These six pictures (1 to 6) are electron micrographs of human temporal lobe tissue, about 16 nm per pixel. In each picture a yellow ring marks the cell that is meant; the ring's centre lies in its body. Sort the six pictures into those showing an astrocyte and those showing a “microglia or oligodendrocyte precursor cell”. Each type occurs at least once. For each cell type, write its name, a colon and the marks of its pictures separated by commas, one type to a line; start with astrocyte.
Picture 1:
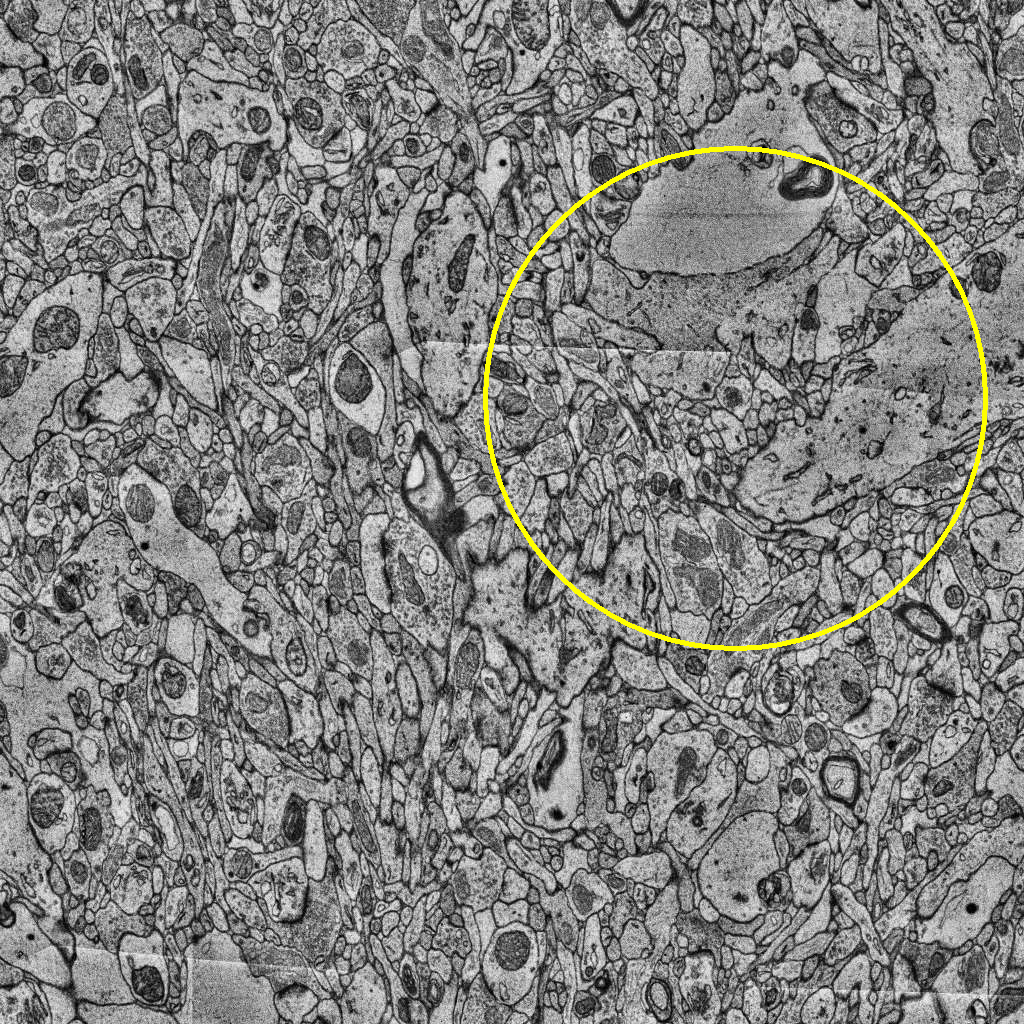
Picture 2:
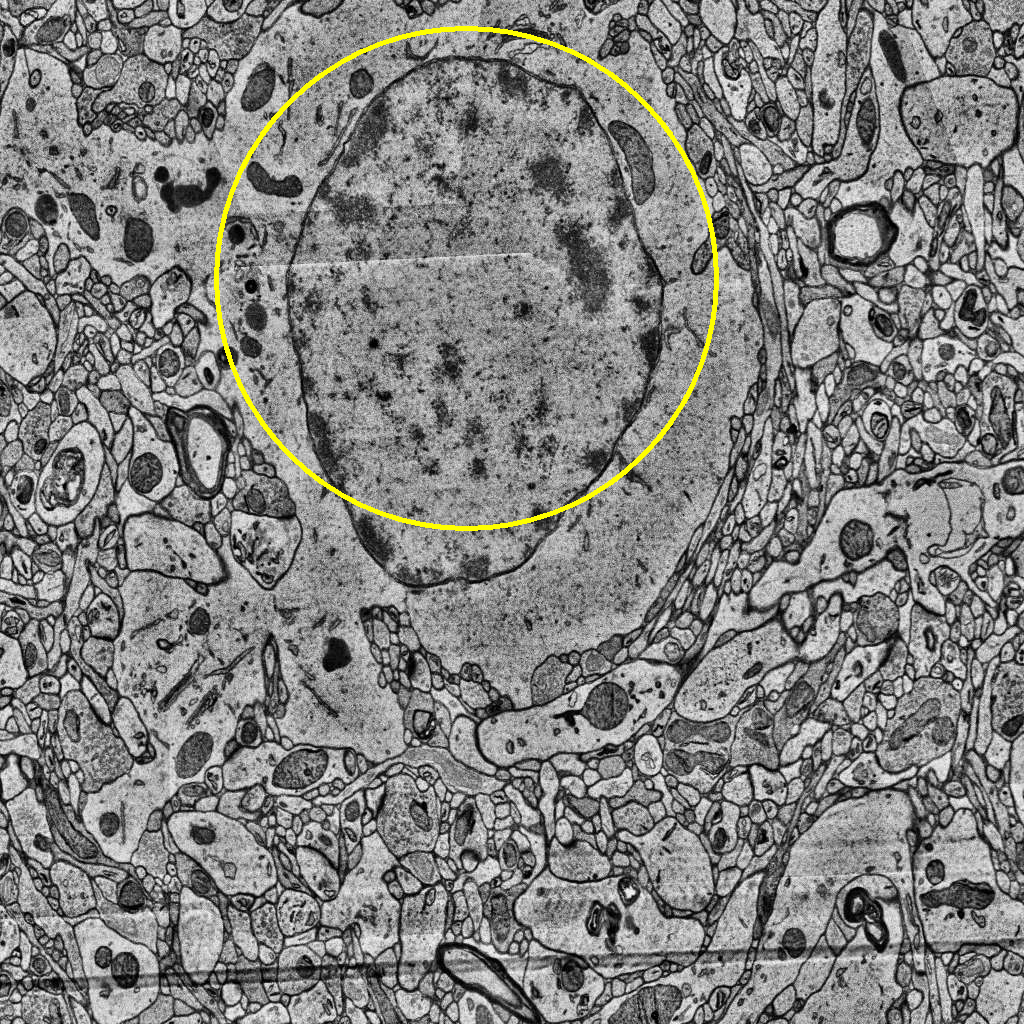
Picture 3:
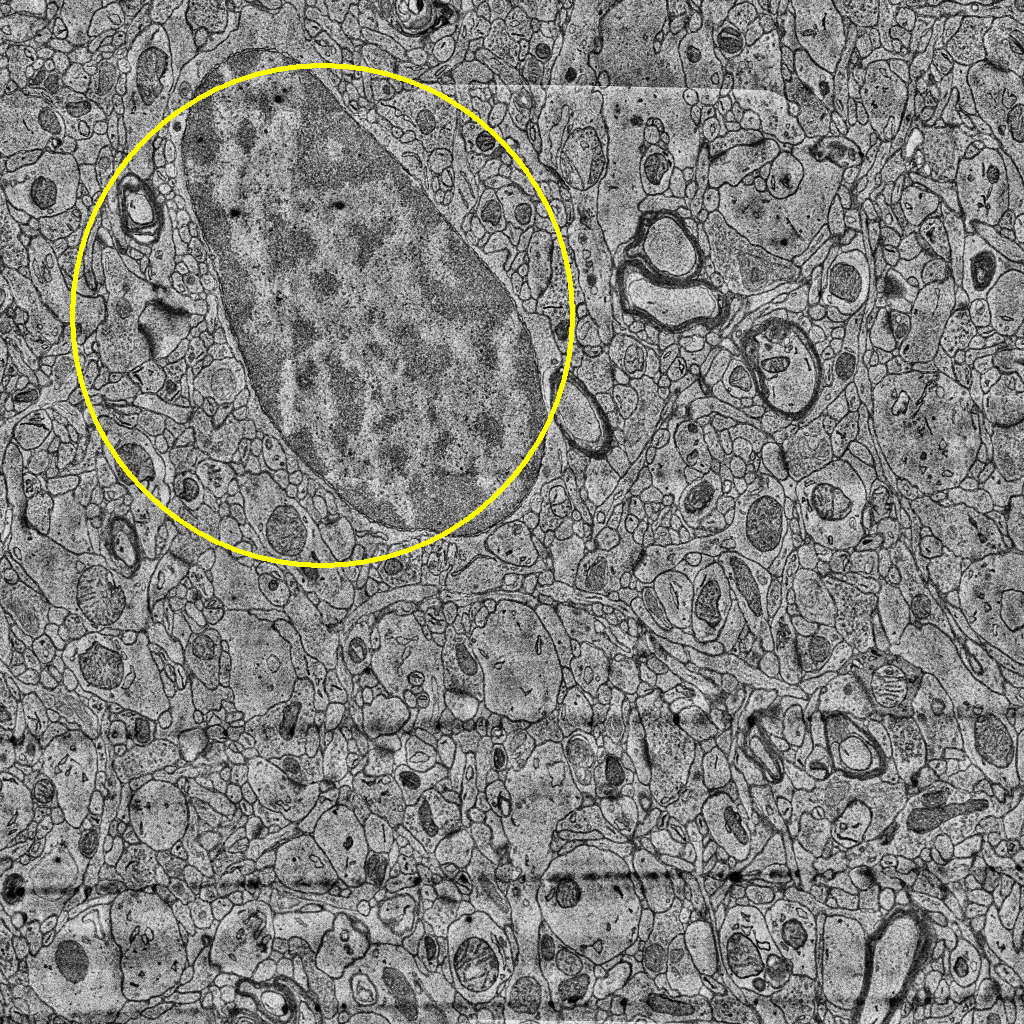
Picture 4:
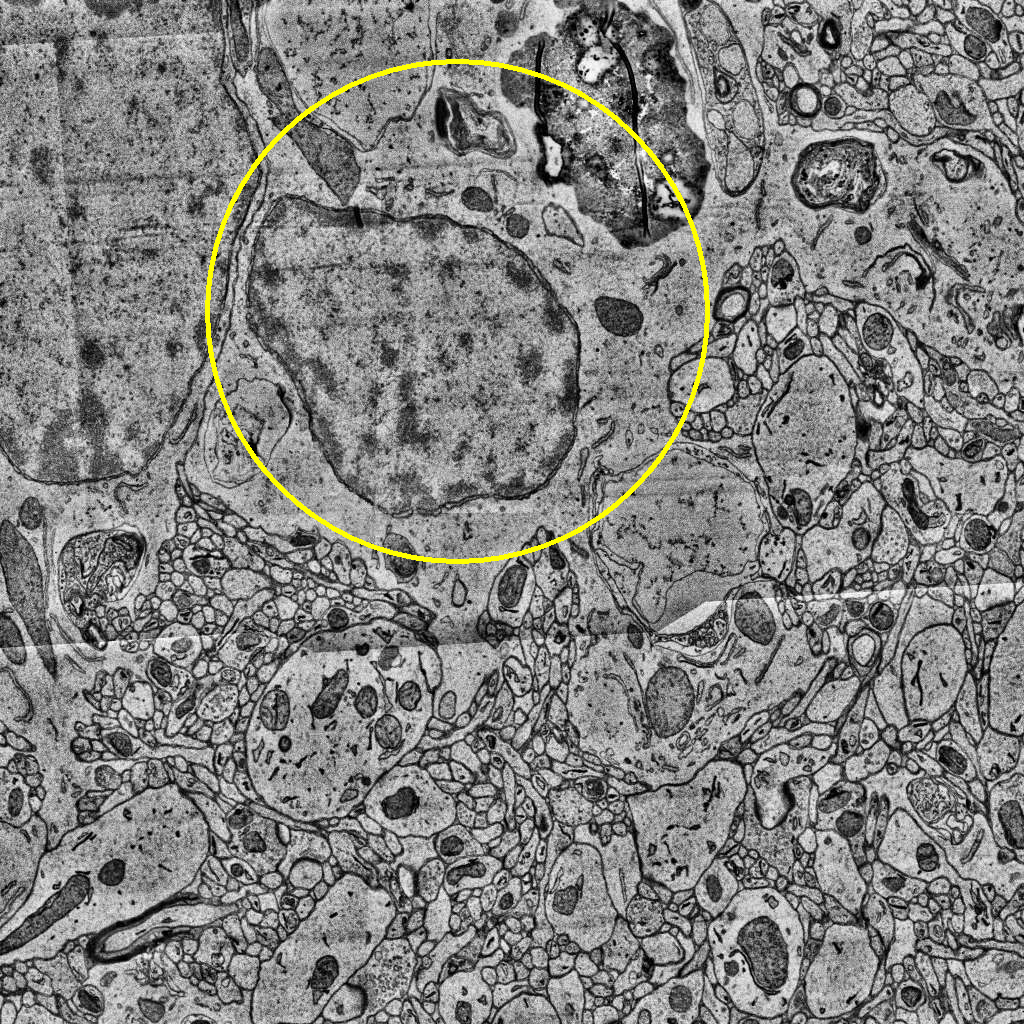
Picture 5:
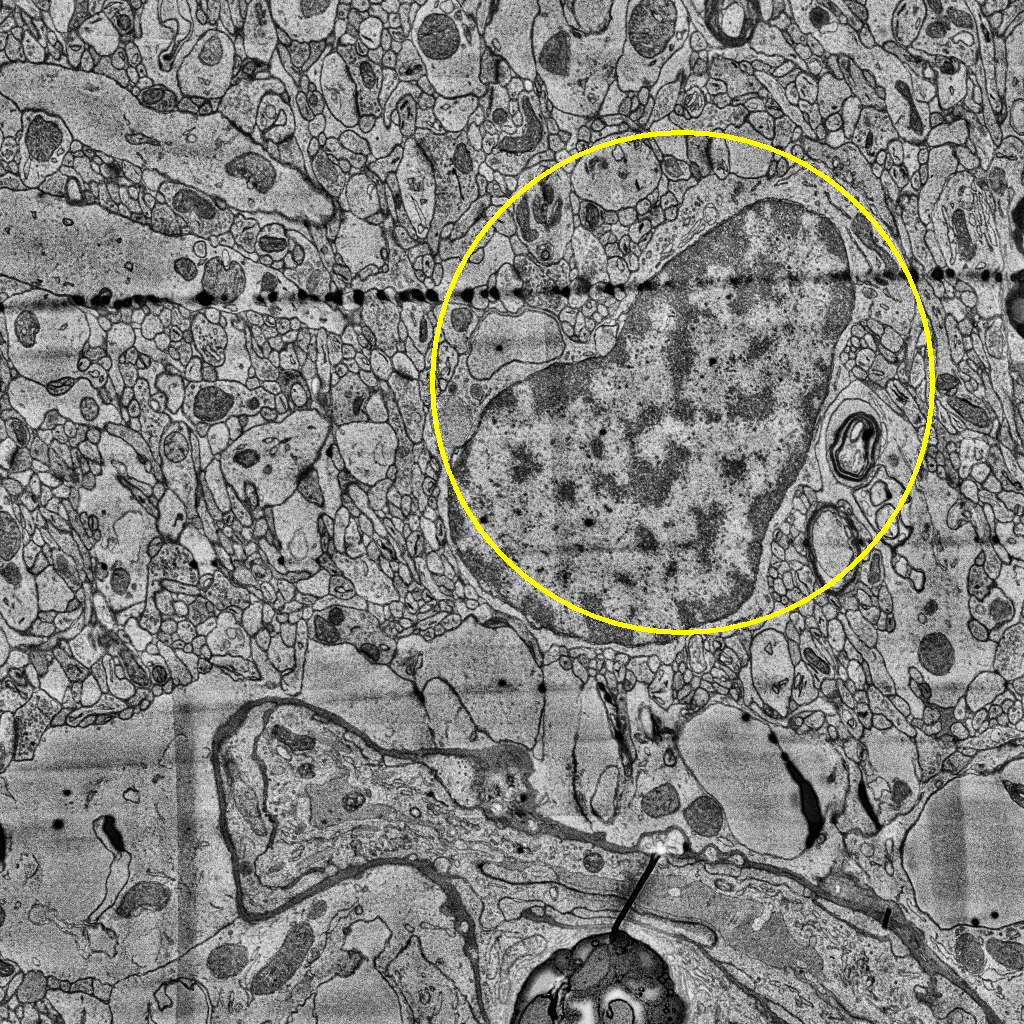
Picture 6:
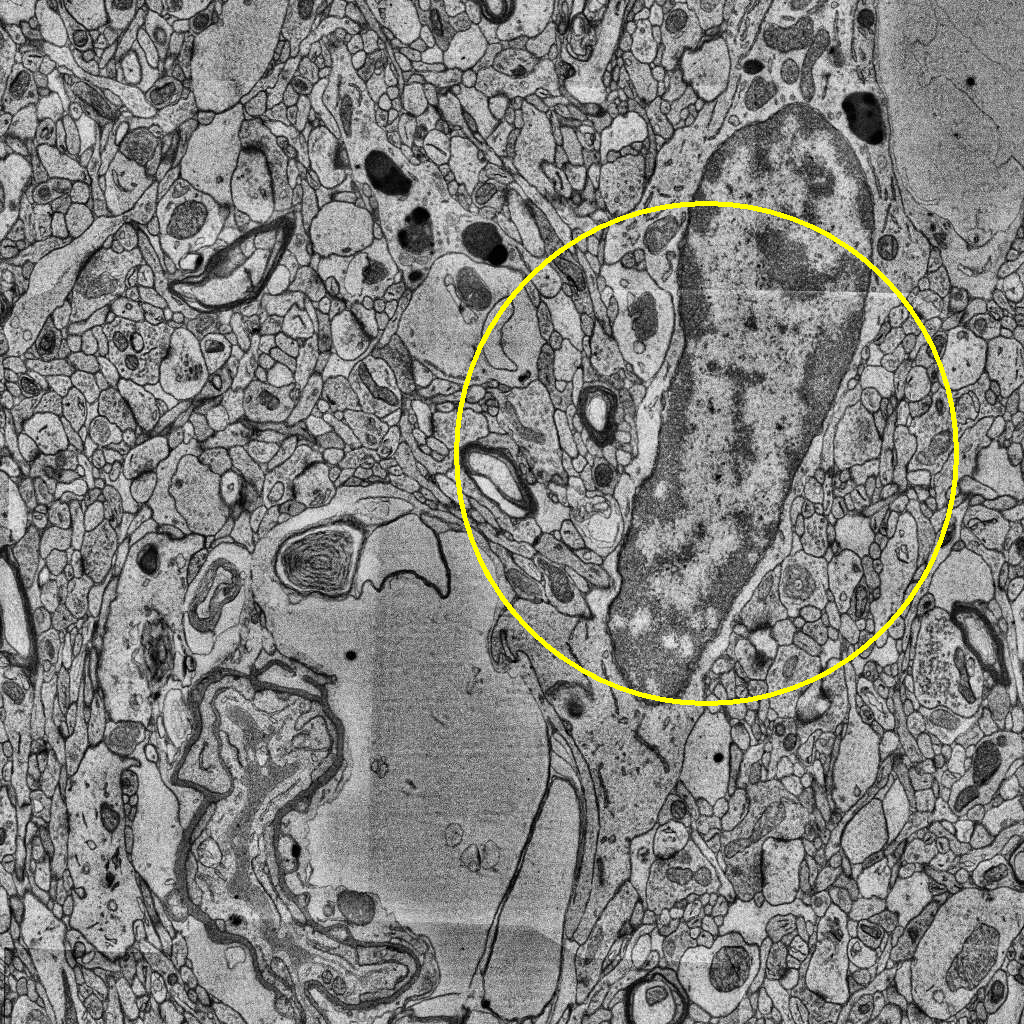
astrocyte: 2, 4
microglia or oligodendrocyte precursor cell: 1, 3, 5, 6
